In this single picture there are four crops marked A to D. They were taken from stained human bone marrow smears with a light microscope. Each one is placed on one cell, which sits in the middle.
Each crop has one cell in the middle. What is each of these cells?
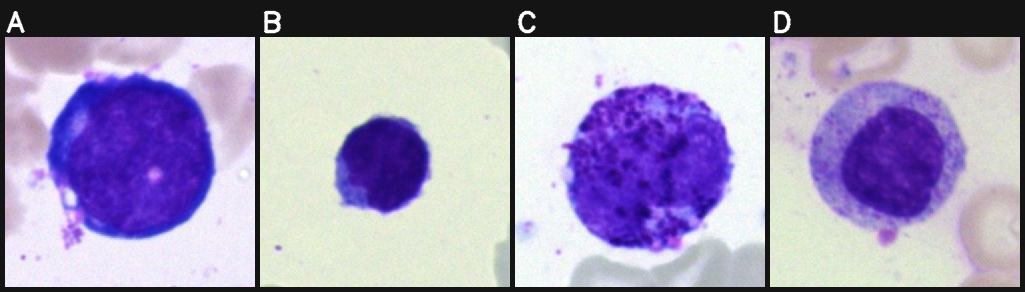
A: proerythroblast
B: lymphocyte
C: basophil
D: myelocyte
